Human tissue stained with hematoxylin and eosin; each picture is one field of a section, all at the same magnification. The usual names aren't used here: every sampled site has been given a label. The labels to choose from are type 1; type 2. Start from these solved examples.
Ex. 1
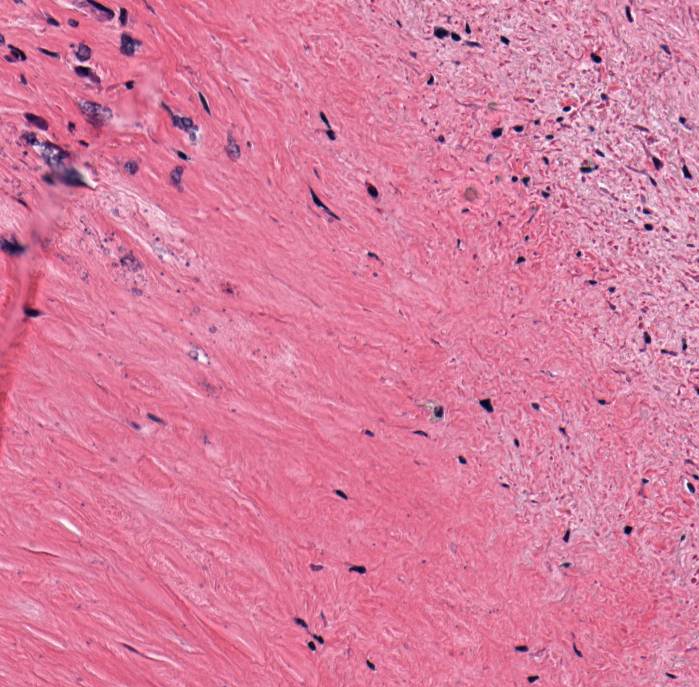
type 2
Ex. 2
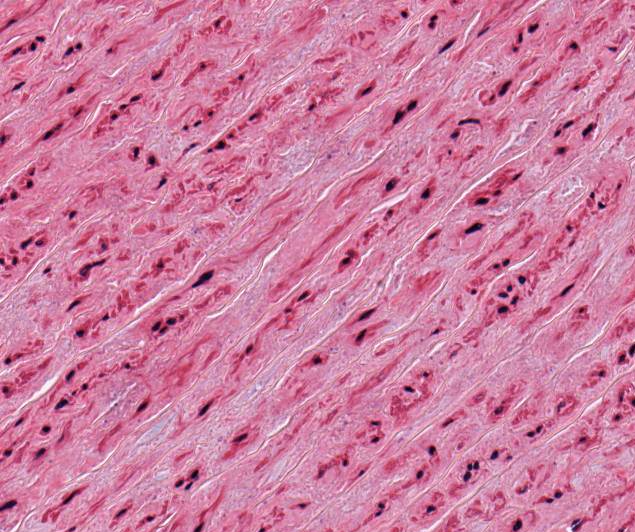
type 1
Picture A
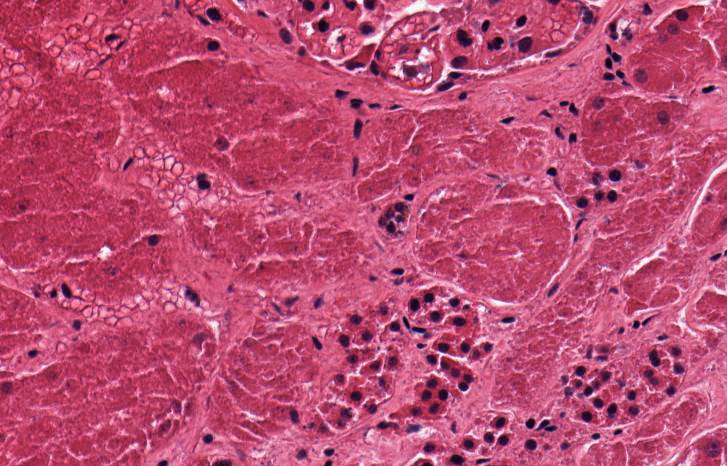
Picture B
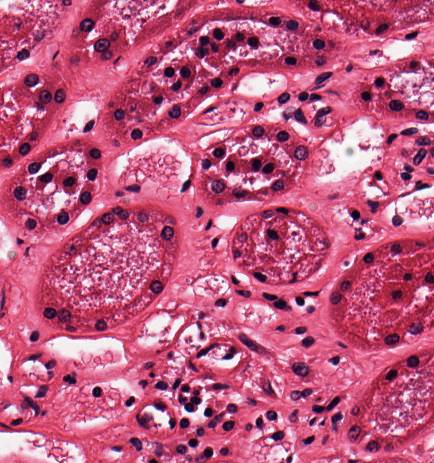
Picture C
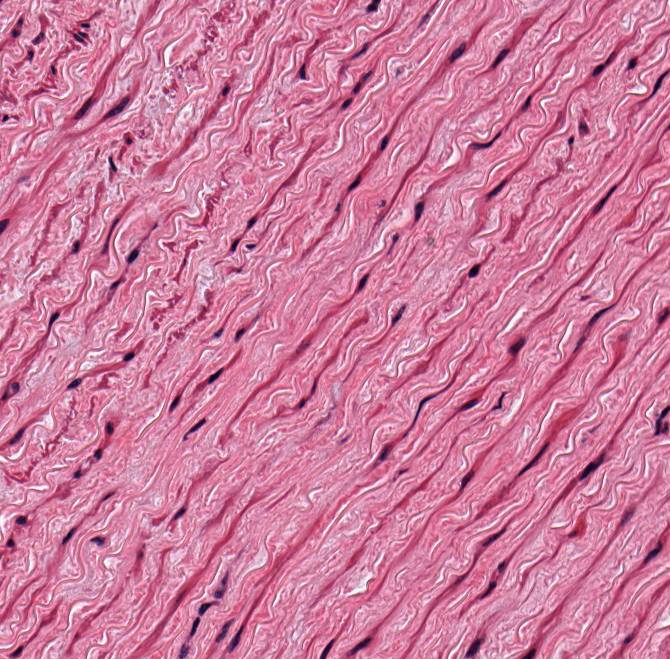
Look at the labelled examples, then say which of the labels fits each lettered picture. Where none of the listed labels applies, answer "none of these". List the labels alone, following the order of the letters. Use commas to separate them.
none of these, none of these, type 1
